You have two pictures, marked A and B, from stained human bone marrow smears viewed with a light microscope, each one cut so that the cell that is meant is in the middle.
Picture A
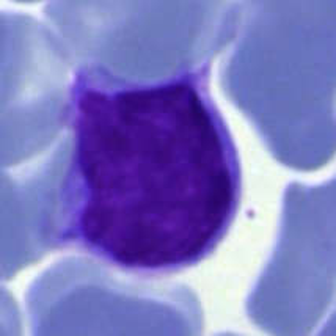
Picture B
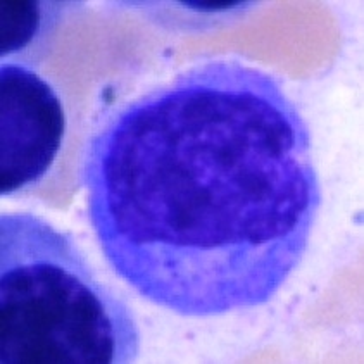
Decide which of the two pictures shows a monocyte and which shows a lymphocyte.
A: lymphocyte
B: monocyte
